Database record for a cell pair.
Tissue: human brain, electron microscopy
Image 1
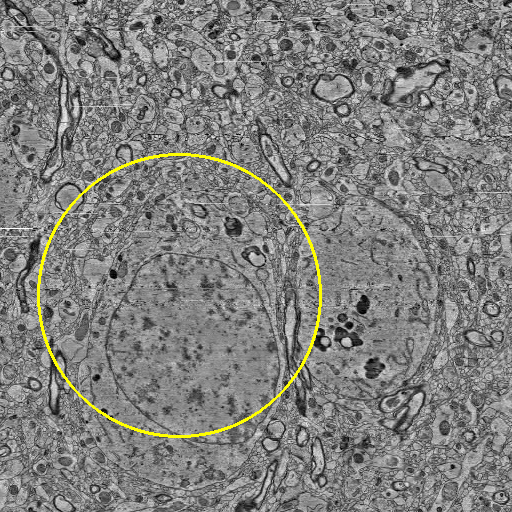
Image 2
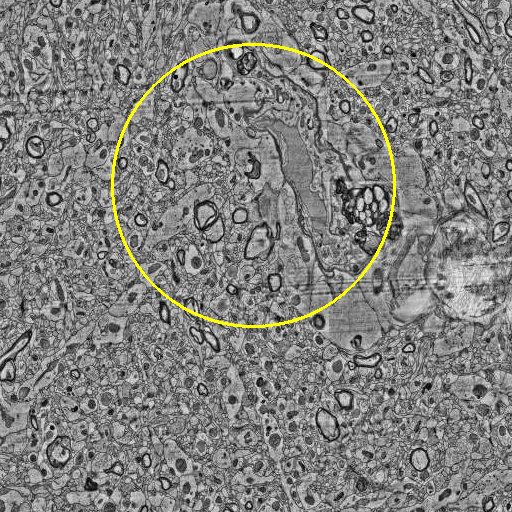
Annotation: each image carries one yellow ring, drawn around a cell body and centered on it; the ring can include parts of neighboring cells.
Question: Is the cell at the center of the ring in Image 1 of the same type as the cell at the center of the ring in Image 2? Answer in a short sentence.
No, the cells are of two types.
